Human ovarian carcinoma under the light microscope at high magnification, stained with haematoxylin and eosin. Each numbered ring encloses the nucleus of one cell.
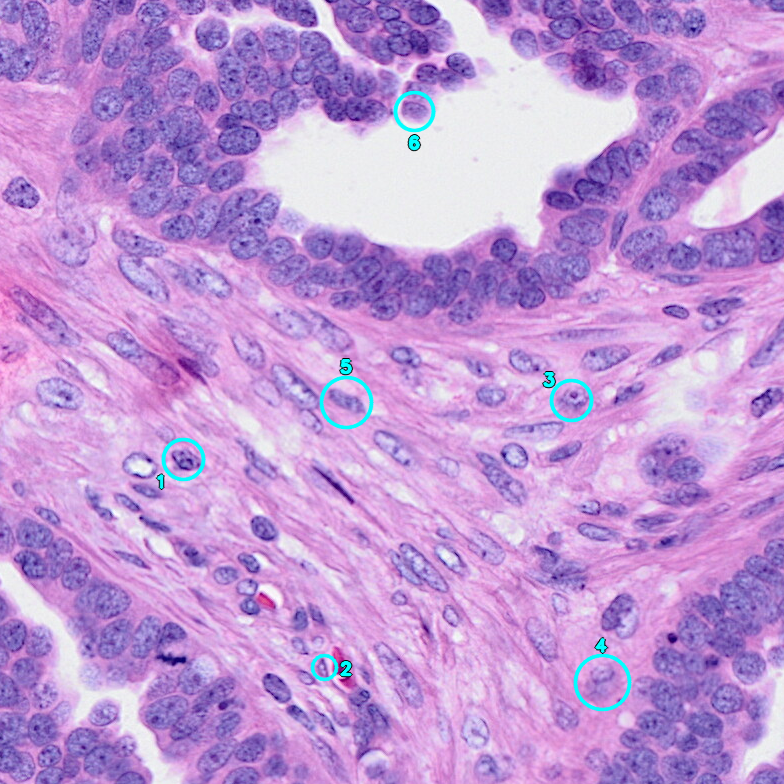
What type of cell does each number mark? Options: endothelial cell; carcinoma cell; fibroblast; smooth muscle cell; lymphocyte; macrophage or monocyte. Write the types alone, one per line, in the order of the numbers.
lymphocyte
endothelial cell
fibroblast
fibroblast
fibroblast
carcinoma cell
